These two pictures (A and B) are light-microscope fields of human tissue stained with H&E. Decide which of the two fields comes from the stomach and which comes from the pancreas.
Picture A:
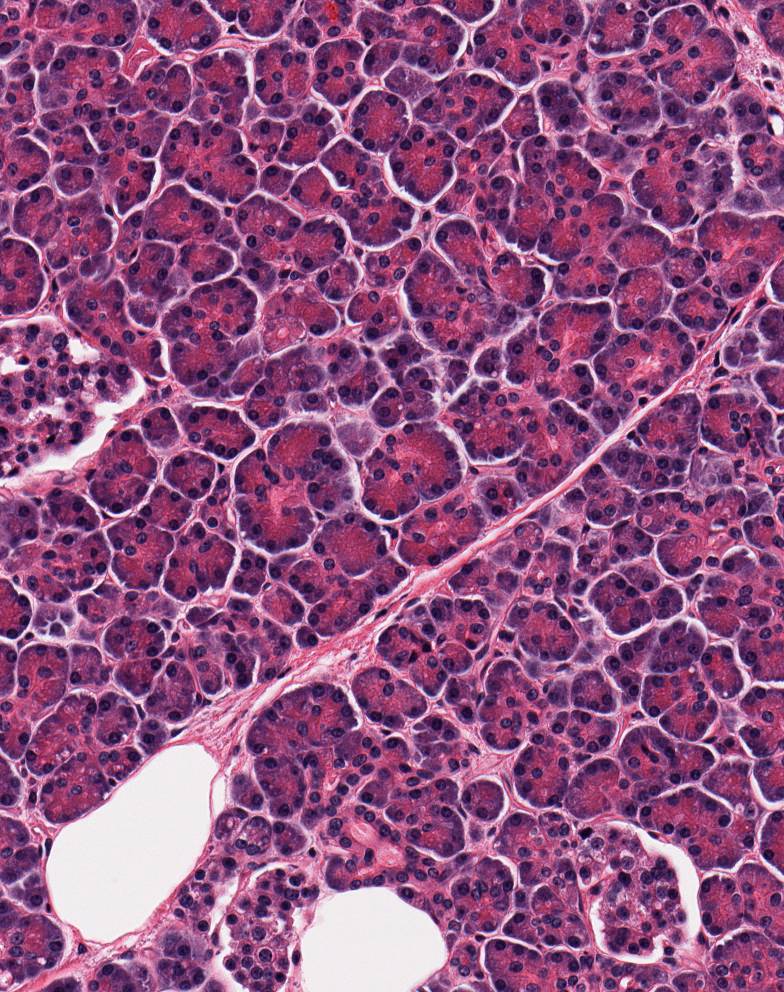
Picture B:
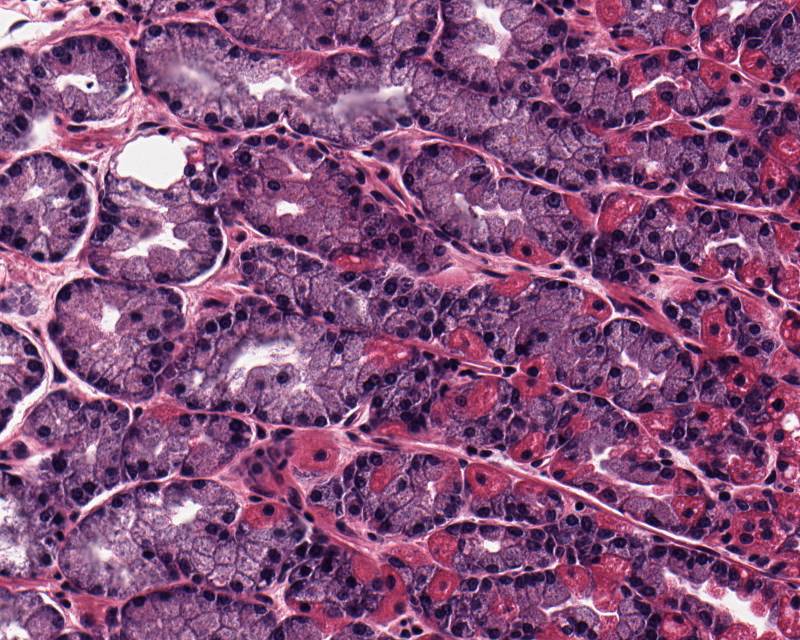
A: pancreas
B: stomach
